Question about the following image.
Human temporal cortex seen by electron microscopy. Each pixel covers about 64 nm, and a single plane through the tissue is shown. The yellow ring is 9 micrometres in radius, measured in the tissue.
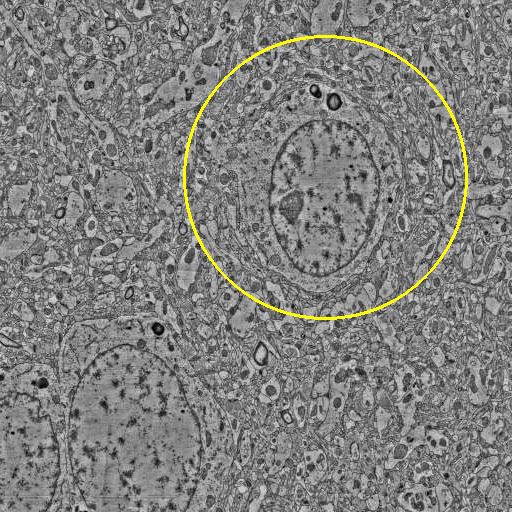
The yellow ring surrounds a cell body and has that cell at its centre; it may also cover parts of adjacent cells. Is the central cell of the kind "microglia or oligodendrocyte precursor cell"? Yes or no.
No, it is of another kind.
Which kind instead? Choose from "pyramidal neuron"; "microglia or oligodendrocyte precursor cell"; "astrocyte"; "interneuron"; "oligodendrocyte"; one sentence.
Instead, the cell at the centre of the ring is a pyramidal neuron.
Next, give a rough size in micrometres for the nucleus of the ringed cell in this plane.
In this plane the nucleus is about 10 micrometres by 7.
